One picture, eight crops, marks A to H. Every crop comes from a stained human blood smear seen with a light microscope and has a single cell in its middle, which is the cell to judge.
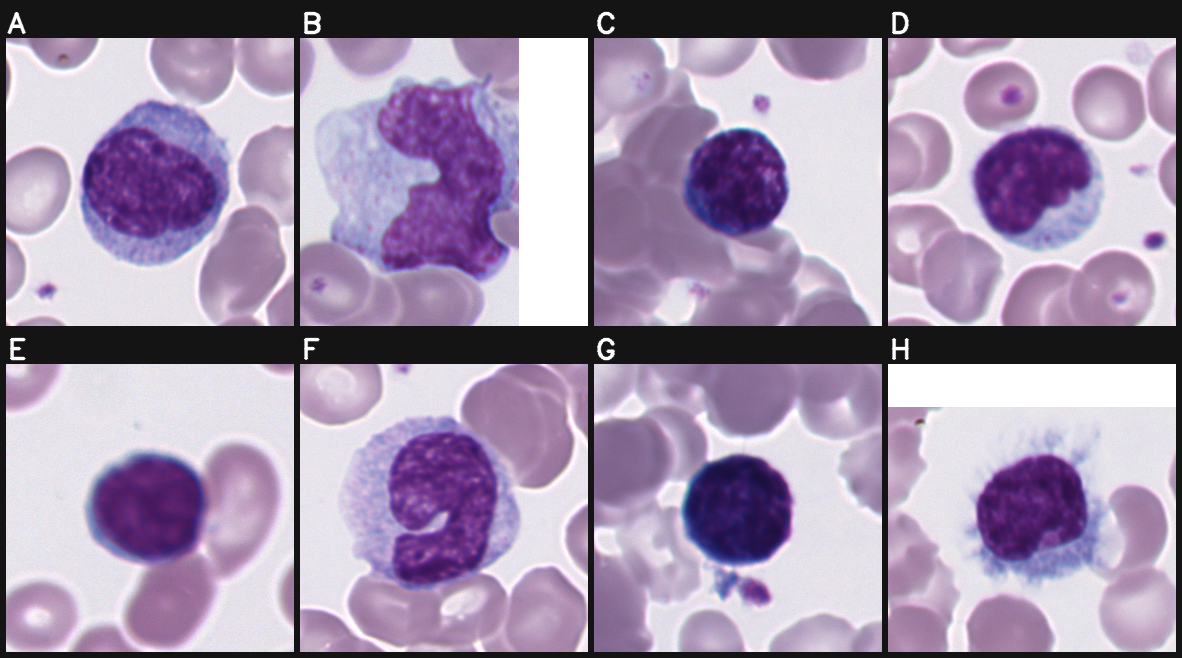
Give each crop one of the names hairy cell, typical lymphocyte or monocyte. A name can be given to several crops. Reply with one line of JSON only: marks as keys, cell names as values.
{"A": "monocyte", "B": "monocyte", "C": "typical lymphocyte", "D": "typical lymphocyte", "E": "typical lymphocyte", "F": "monocyte", "G": "typical lymphocyte", "H": "hairy cell"}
